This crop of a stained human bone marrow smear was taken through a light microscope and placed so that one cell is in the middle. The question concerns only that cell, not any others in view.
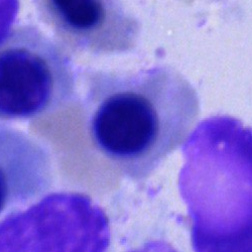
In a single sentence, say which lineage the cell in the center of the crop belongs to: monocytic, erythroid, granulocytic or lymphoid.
As for the cell in the middle, its lineage is erythroid.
